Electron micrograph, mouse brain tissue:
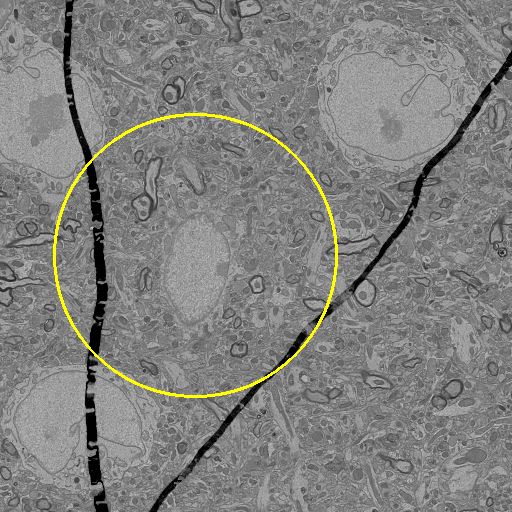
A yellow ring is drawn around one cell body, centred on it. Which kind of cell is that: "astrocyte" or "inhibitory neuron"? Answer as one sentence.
It is an astrocyte at the centre of the ring.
